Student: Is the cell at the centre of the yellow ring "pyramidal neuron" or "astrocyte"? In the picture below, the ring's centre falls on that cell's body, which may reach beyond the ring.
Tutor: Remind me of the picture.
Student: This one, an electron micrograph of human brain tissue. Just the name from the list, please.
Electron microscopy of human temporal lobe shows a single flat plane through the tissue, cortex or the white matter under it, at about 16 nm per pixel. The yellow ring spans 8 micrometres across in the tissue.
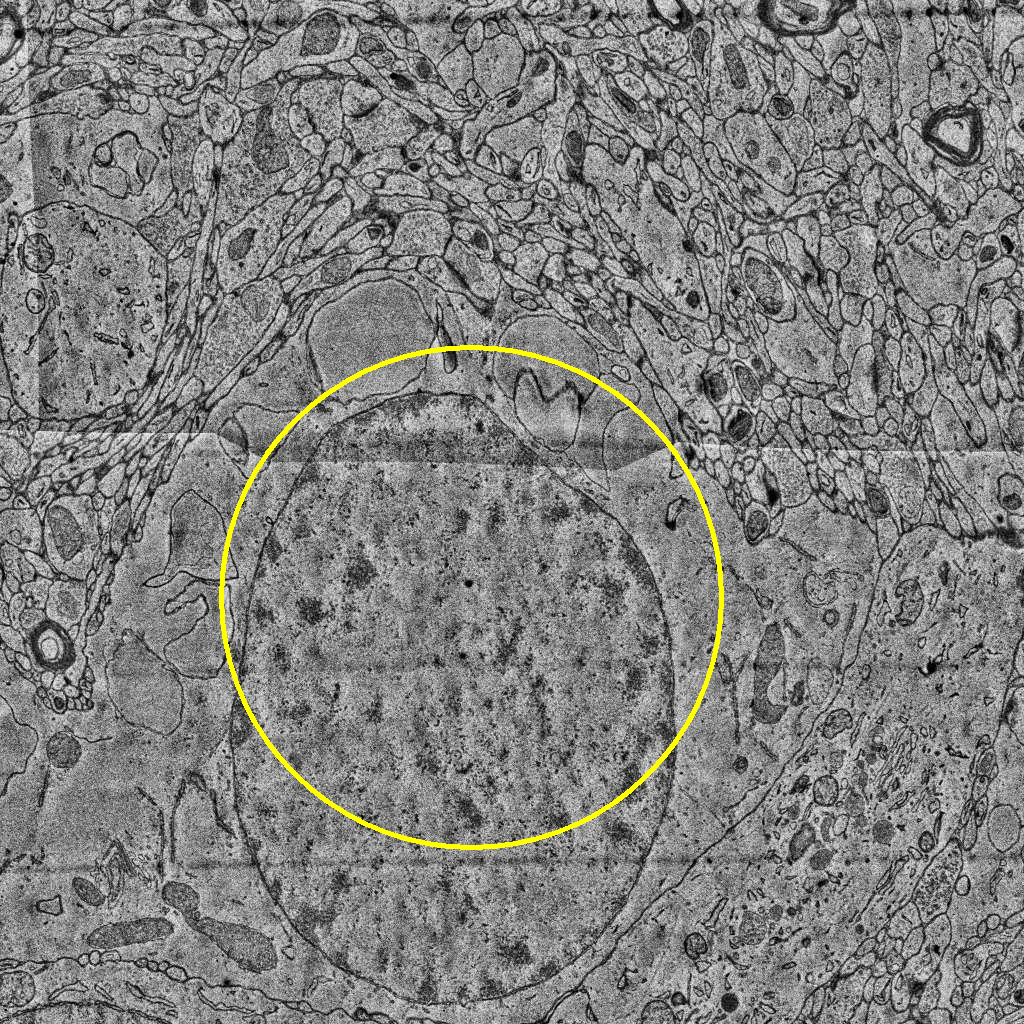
astrocyte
